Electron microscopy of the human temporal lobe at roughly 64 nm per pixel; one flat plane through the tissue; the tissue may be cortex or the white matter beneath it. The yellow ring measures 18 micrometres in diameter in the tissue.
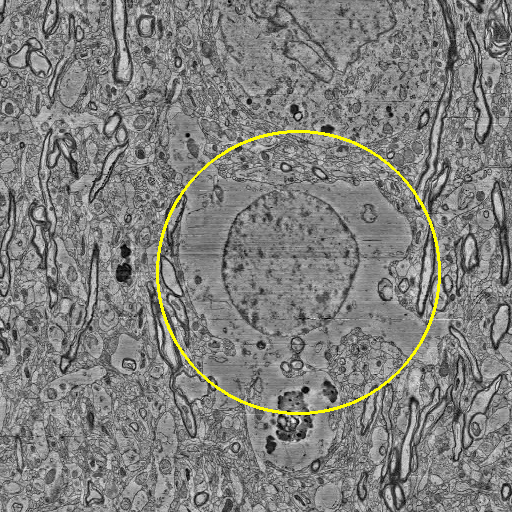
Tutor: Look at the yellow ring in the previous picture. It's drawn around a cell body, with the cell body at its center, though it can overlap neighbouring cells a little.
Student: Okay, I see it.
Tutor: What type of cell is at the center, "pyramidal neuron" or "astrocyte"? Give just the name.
astrocyte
